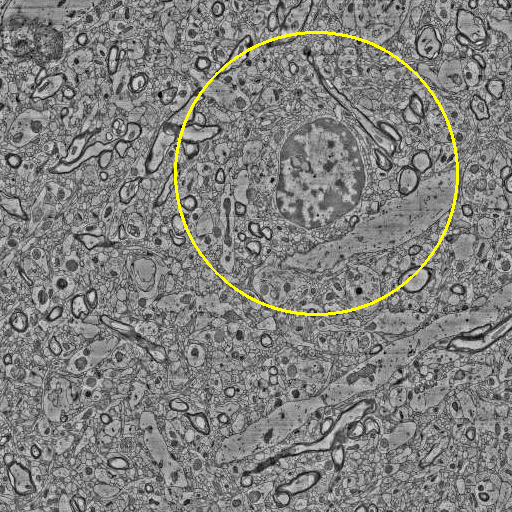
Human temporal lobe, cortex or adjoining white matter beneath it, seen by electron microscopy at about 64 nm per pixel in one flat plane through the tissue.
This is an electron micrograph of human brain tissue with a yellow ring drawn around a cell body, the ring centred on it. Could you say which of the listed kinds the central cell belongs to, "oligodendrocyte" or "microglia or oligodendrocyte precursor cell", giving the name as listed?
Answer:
microglia or oligodendrocyte precursor cell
